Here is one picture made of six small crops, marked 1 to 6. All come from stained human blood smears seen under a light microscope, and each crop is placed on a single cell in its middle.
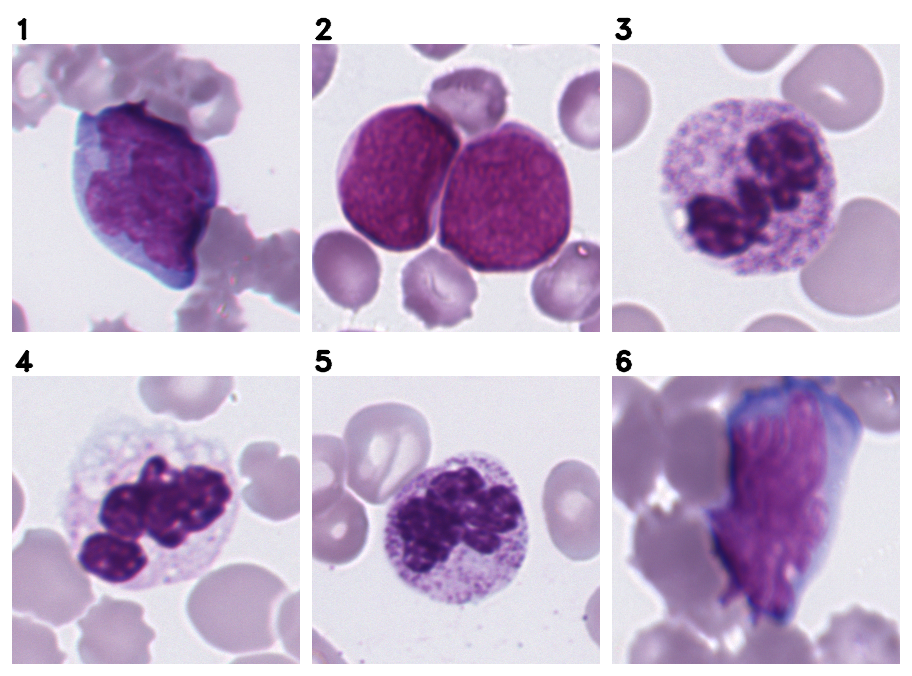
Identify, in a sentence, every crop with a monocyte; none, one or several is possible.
Absent from the centre of every crop is a monocyte.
